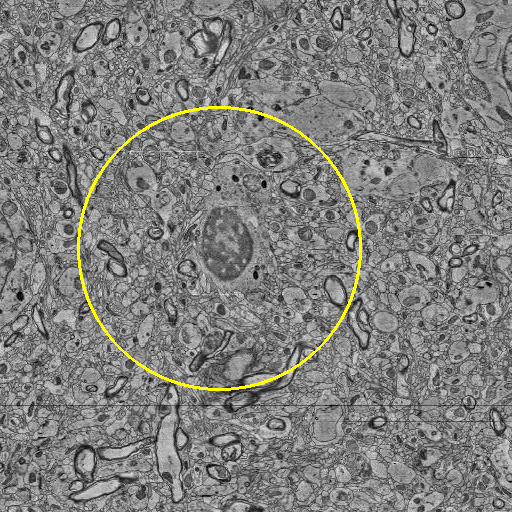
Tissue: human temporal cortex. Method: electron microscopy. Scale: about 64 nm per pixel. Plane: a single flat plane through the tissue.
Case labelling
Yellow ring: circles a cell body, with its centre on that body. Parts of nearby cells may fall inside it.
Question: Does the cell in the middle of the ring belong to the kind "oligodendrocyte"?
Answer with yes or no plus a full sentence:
Yes, in this picture the cell in the middle of the yellow ring belongs to that kind.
